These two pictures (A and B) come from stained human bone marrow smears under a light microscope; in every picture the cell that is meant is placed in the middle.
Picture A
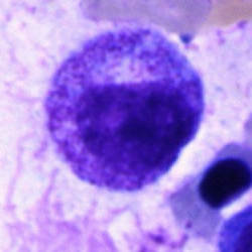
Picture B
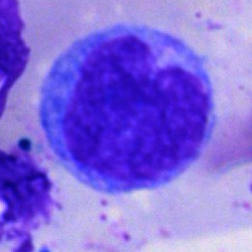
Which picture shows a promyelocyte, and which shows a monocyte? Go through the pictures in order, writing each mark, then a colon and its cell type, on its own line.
A: promyelocyte
B: monocyte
